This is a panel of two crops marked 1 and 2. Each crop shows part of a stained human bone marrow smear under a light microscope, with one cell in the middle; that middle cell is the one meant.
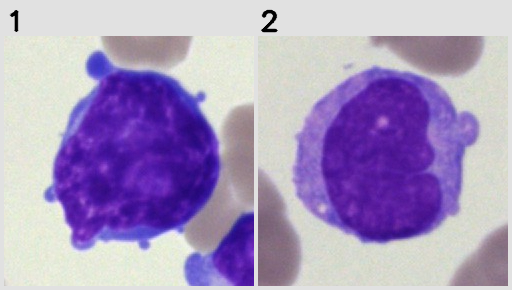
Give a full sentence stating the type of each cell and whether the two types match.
Yes, the cells under consideration in both crops are blasts.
